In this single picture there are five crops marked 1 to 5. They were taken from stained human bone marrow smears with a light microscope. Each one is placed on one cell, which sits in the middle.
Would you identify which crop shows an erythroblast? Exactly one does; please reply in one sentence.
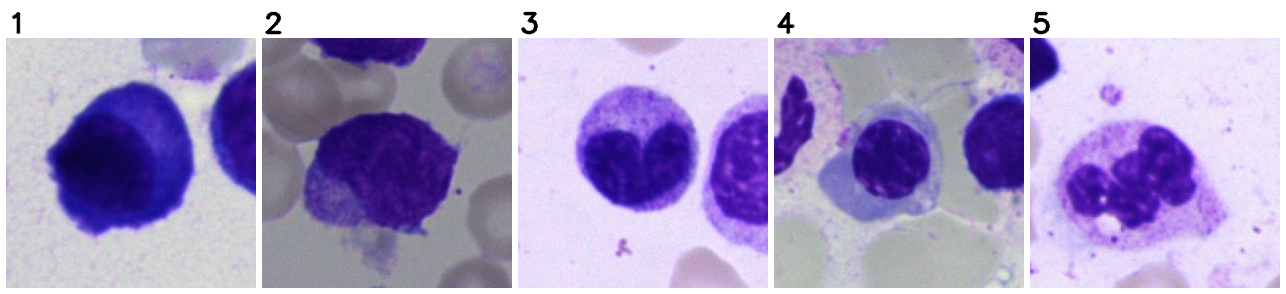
The one crop that shows an erythroblast is crop 4.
